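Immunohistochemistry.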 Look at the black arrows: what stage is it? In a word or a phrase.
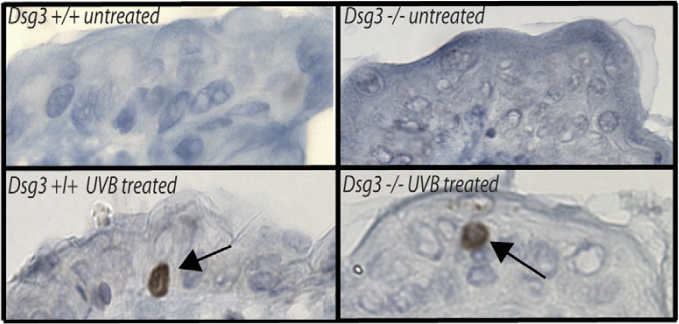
Apoptotic cells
